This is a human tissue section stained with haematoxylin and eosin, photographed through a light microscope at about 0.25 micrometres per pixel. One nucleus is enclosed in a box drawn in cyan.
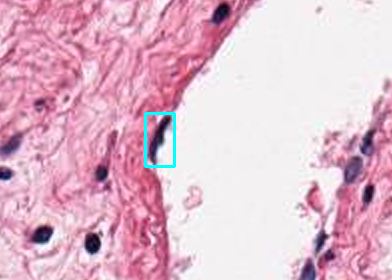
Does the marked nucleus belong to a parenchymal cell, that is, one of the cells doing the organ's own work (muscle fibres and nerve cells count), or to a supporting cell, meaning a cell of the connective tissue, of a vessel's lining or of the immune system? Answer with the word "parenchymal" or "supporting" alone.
supporting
